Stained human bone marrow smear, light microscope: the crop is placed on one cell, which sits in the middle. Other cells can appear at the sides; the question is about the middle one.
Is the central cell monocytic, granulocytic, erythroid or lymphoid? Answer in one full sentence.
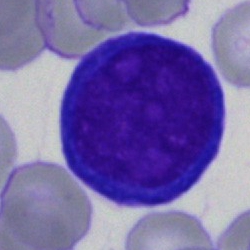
The cell located at the center of the crop is erythroid by lineage.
